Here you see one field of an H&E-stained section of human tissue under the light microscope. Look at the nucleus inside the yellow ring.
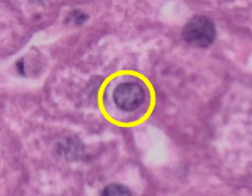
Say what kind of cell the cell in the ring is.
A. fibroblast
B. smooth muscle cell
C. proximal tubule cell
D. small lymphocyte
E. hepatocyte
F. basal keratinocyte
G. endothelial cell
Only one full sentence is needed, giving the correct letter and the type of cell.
According to option E, the cell in the ring is a hepatocyte, and this is correct.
